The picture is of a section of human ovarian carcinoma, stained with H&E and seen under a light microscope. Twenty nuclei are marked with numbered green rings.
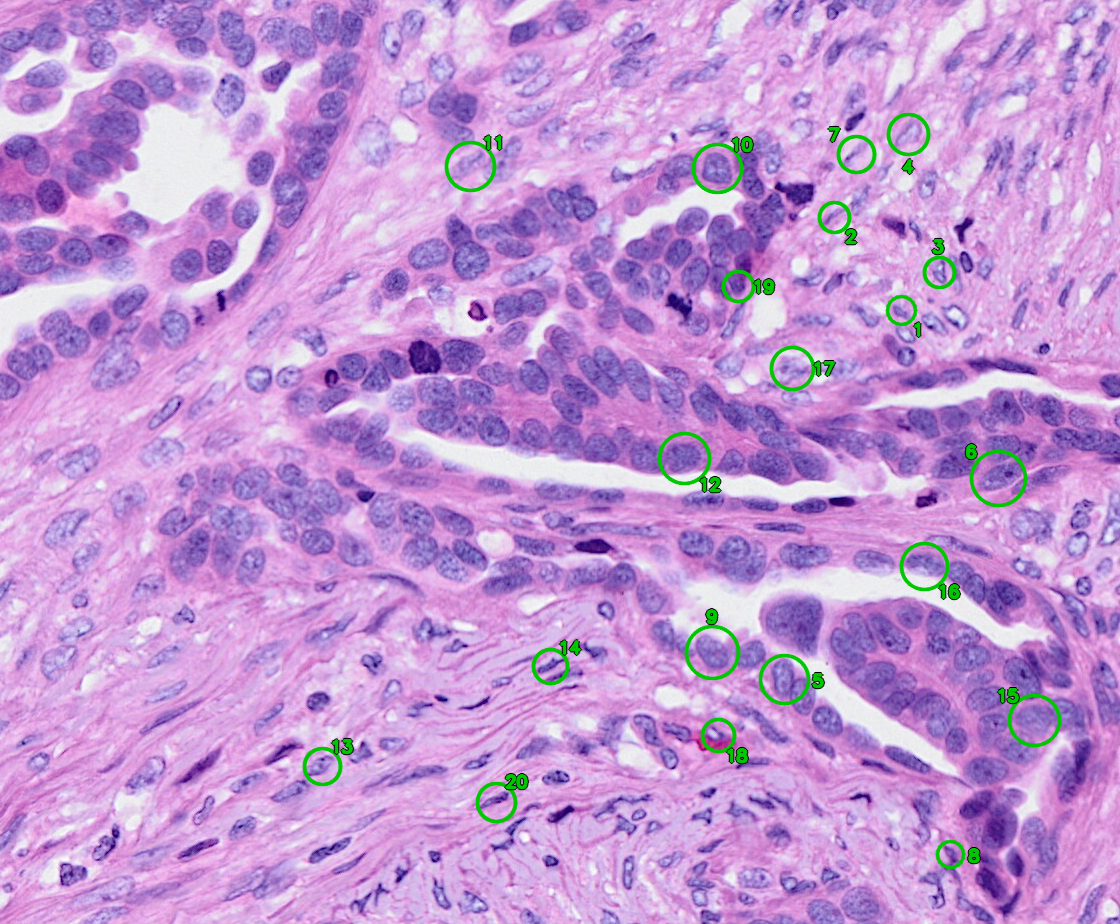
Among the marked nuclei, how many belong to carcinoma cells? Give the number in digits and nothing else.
8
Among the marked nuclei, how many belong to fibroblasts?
11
